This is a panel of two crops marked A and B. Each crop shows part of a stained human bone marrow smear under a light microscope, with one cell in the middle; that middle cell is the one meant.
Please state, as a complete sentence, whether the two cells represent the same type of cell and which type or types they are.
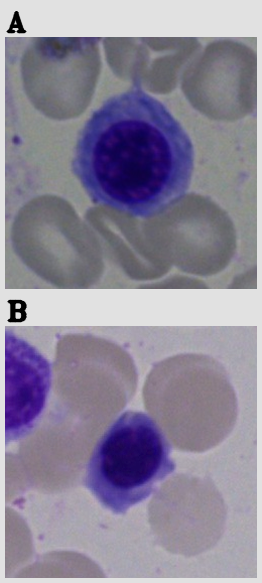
Yes, the centre cells of both crops are normoblasts.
